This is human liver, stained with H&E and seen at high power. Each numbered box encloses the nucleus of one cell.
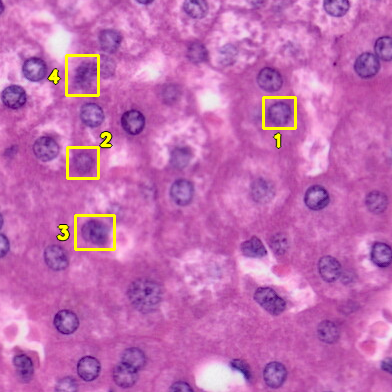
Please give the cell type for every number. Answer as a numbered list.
1. hepatocyte
2. hepatocyte
3. endothelial cell
4. endothelial cell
